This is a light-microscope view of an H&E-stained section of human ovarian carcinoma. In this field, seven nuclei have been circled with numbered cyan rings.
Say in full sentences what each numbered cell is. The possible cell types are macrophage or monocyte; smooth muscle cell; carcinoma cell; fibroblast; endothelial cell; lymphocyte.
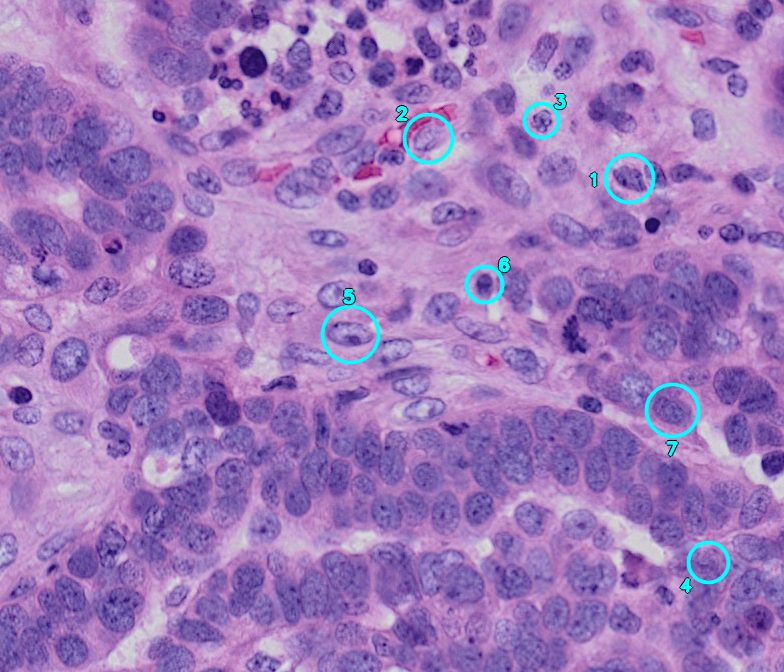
Cell 1 is a macrophage or monocyte, cell 2 is an endothelial cell, cell 3 is a lymphocyte, cell 4 is a carcinoma cell, cell 5 is a fibroblast, cell 6 is a lymphocyte and cell 7 is a carcinoma cell.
